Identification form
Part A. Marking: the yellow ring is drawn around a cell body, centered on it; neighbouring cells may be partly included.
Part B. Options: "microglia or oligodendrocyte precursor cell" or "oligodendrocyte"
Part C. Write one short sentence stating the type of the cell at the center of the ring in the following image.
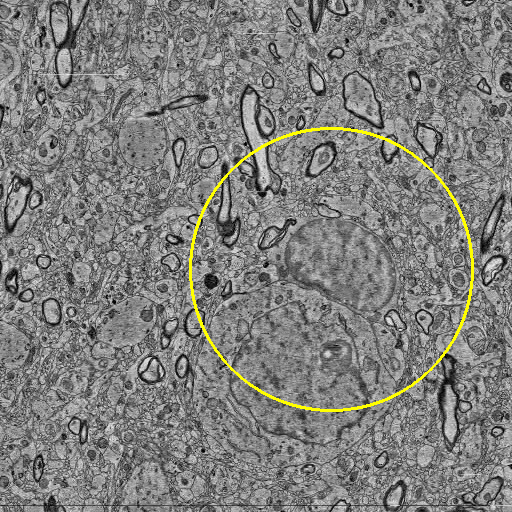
The center of the ring holds an oligodendrocyte.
